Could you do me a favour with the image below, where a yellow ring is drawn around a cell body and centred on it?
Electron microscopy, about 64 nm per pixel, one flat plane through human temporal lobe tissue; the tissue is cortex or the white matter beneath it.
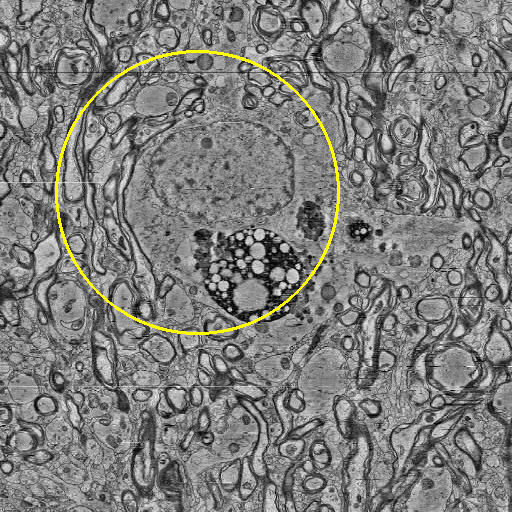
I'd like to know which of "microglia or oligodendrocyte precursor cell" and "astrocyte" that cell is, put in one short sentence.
The cell at the ring's centre is an astrocyte.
